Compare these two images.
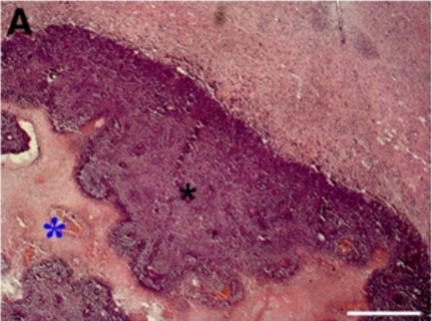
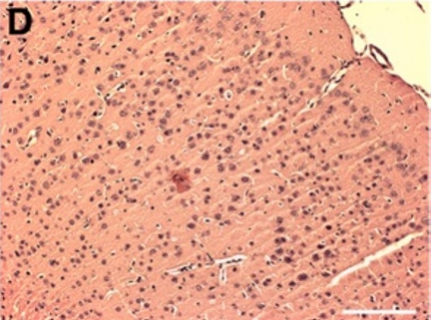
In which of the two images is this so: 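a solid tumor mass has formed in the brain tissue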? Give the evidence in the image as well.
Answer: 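Second image: evenly pale pink brain tissue with scattered small nuclei and no dense cell mass. First image: a large dark purple, densely cellular mass sharply set off from paler brain tissue.
Hence: the first image.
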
